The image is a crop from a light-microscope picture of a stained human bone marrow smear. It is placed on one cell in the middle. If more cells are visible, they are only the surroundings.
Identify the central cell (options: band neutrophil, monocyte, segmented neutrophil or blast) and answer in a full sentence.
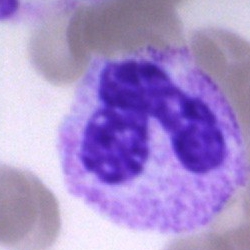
The cell centred in this crop is categorized as a segmented neutrophil.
